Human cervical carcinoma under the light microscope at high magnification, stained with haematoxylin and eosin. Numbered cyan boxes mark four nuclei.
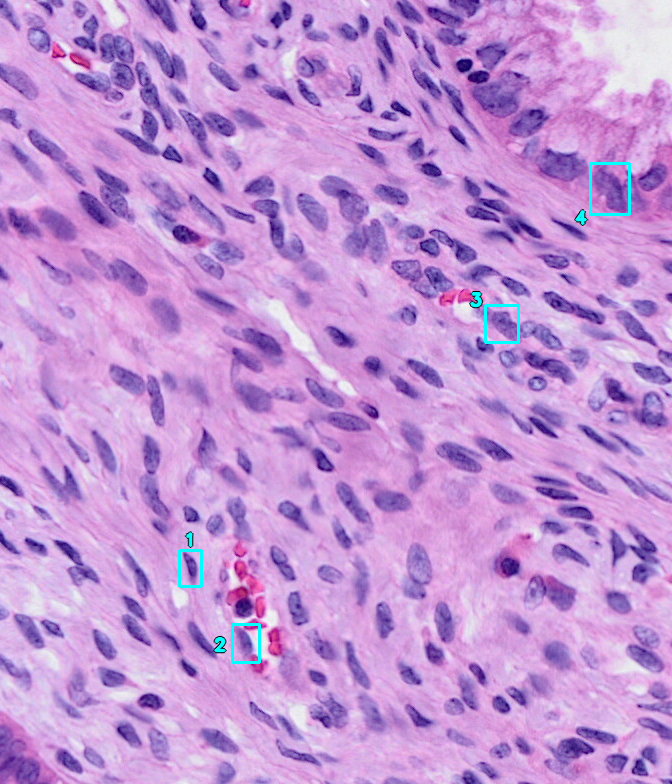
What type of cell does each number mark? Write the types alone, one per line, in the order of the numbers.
fibroblast
endothelial cell
endothelial cell
secretory epithelial cell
